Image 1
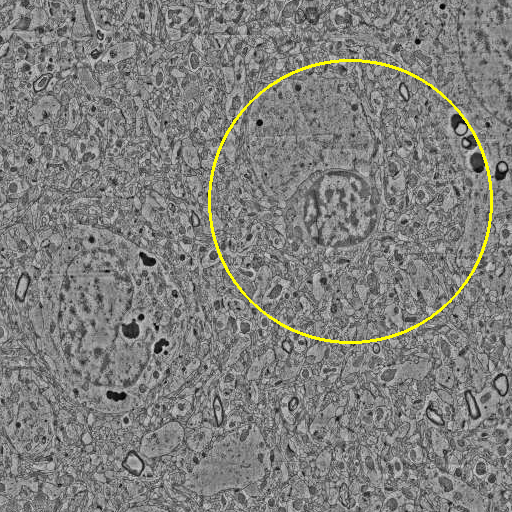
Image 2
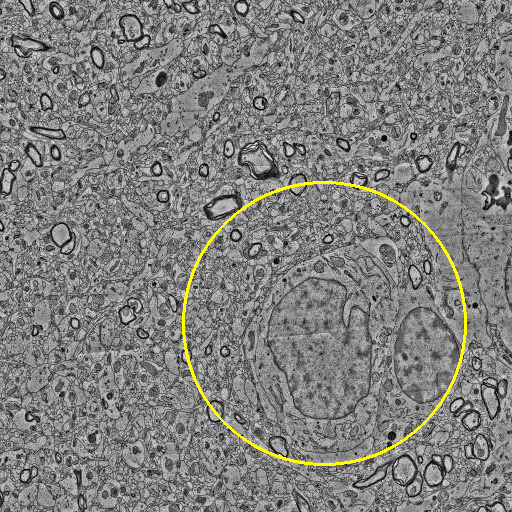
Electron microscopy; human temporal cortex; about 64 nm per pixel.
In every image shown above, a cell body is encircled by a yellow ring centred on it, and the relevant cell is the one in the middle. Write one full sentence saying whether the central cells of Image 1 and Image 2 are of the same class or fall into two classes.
The cell at the ring's centre in Image 1 and its counterpart in Image 2 fall into two classes.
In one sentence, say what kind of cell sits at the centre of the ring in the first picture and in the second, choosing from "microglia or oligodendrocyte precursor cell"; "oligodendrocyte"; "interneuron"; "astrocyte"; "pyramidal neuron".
The first picture's ringed cell is an oligodendrocyte, while the second picture's is a pyramidal neuron.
